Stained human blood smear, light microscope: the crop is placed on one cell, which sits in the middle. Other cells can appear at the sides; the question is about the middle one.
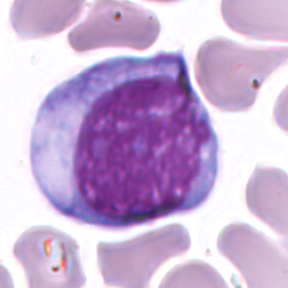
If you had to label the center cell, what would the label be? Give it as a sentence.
For this crop, the cell in the middle is a plasma cell.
